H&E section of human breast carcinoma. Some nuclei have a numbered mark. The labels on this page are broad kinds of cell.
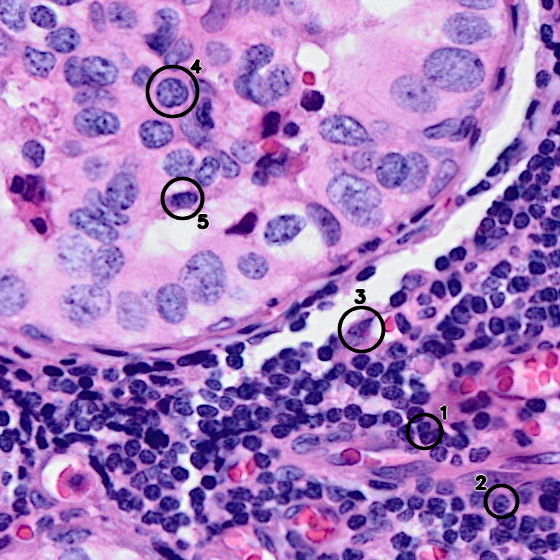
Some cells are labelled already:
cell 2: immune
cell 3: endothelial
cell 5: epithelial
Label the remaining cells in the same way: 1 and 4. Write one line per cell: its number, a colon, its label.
1: immune
4: epithelial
